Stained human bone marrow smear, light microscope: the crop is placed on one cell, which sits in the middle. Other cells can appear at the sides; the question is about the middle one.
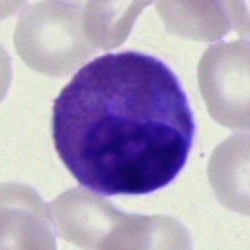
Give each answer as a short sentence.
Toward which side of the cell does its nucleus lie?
Seen from the middle of the cell, the nucleus lies toward the bottom.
